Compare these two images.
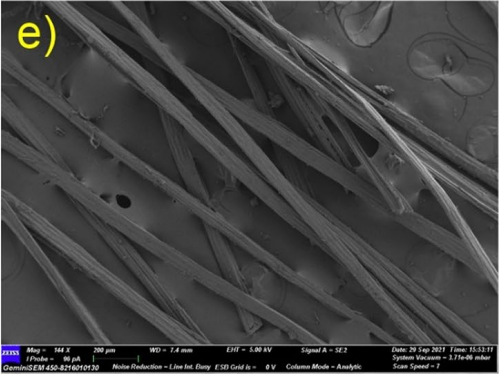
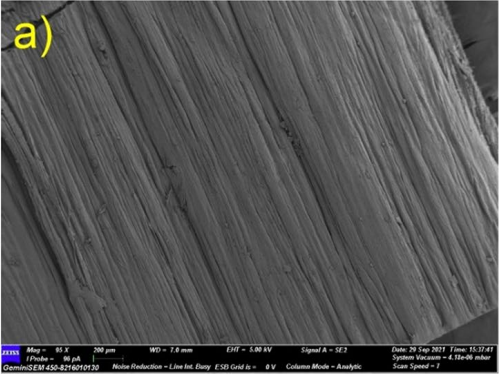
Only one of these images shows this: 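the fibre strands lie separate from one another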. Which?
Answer: The first image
